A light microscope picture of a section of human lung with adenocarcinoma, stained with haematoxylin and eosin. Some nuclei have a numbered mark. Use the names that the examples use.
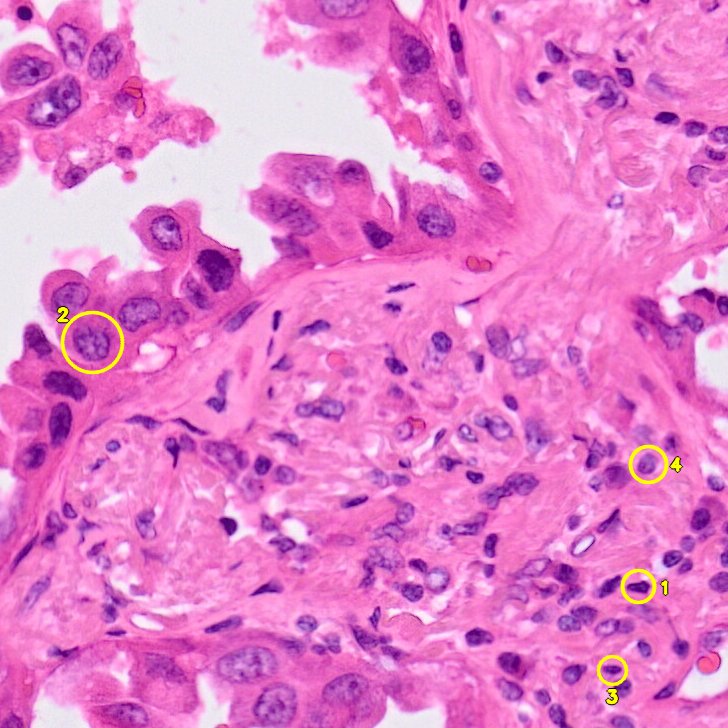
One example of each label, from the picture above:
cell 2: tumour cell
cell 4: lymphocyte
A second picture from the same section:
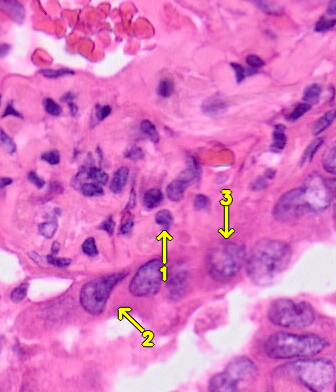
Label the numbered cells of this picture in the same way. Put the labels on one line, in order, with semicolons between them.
lymphocyte; tumour cell; tumour cell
